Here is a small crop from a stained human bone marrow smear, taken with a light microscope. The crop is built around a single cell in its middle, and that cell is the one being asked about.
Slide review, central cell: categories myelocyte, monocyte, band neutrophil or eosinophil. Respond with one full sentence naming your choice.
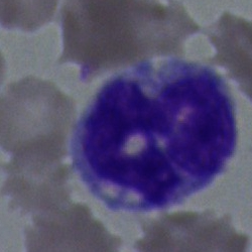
The crop centres on a single cell, and that cell is a monocyte.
